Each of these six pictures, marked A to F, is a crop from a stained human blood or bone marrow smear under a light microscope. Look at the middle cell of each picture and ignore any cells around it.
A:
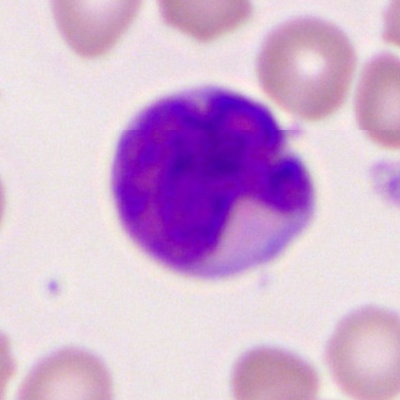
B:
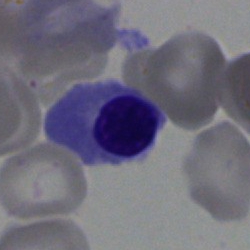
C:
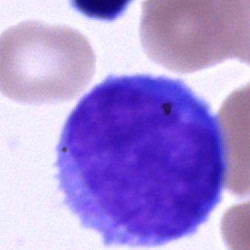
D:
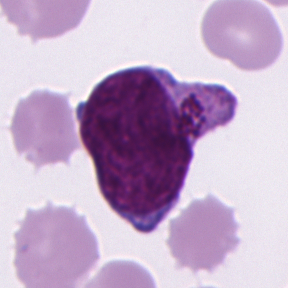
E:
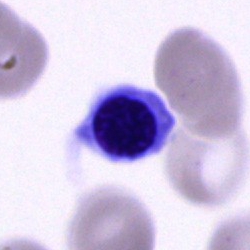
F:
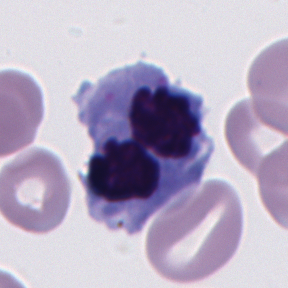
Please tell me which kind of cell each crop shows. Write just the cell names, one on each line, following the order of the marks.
blast
erythroblast
blast
blast
erythroblast
erythroblast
